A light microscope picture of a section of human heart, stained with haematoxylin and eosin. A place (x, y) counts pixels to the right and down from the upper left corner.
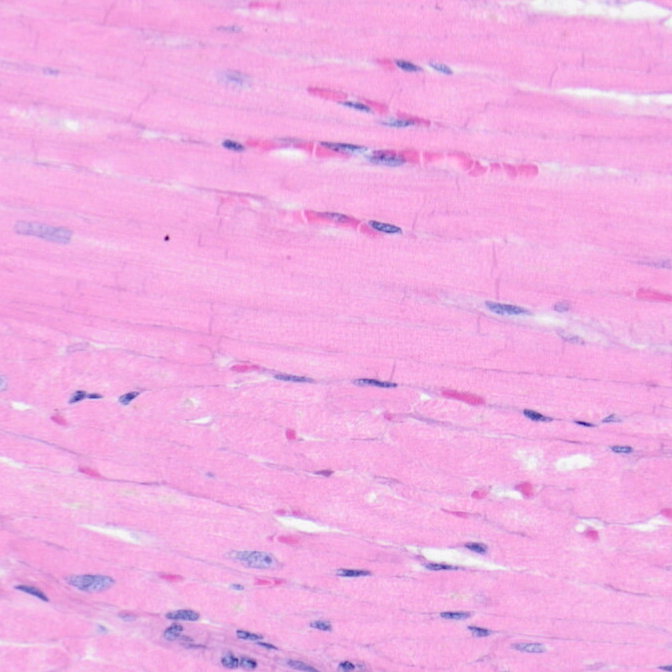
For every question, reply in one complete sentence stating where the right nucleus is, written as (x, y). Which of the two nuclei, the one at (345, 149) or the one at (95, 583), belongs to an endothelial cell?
That would be the nucleus at (345, 149); it belongs to an endothelial cell.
